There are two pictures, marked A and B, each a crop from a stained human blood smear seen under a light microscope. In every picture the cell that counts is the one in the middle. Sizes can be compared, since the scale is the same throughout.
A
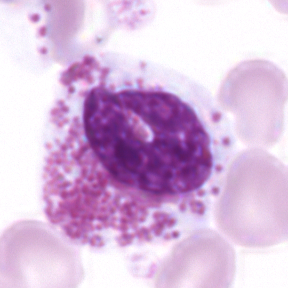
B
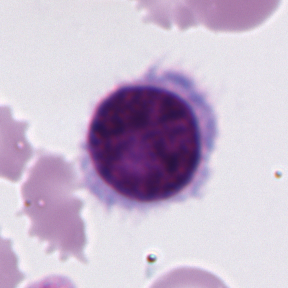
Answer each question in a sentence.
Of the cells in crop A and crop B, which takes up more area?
Crop A holds the larger cell; it covers about 1.5 times the area of the cell in crop B.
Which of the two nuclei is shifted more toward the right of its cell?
In crop A the nucleus is shifted more toward the right.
